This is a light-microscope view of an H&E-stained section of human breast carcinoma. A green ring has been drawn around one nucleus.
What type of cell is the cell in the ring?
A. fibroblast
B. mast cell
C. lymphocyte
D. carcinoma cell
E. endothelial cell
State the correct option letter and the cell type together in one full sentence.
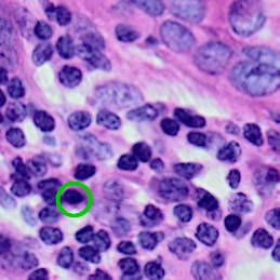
Exactly as option C gives it, the cell in the ring is a lymphocyte.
